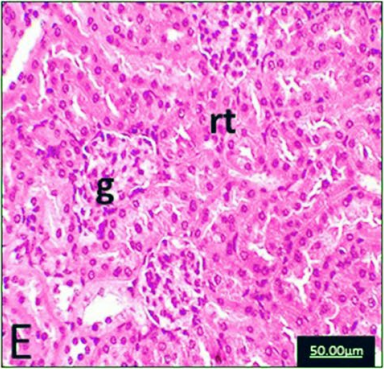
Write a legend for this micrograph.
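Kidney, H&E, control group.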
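Renal cortex with tubules and glomeruli. Tubules are closely packed and lined by cuboidal epithelial cells with pale pink cytoplasm and round, purple, centrally placed nuclei. Tubular lumina are narrow and mostly clear. Glomeruli appear as rounded, cell-rich capillary tufts with many dark nuclei, set among the tubules. No pooled blood or clusters of inflammatory cells are seen.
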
